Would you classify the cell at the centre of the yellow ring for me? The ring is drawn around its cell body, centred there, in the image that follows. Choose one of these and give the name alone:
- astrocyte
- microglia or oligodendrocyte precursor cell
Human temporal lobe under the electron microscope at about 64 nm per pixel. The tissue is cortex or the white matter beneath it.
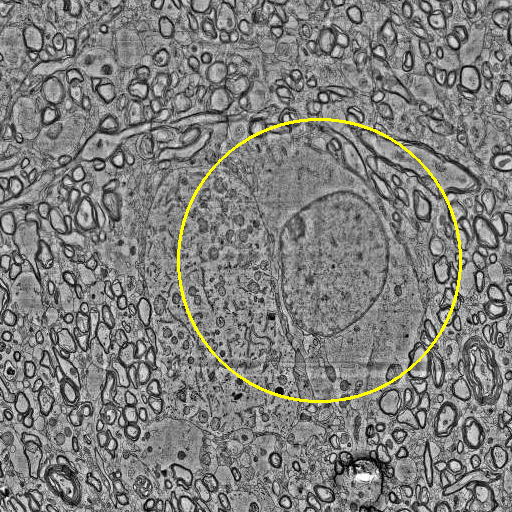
astrocyte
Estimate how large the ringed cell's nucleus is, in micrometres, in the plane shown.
About 9 by 6 micrometres in this plane.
